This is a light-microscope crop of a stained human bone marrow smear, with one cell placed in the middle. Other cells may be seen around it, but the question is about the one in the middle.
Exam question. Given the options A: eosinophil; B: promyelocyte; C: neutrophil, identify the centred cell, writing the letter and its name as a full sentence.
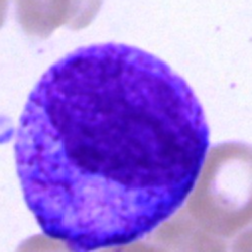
Option B, which names the central cell as a promyelocyte, is correct.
